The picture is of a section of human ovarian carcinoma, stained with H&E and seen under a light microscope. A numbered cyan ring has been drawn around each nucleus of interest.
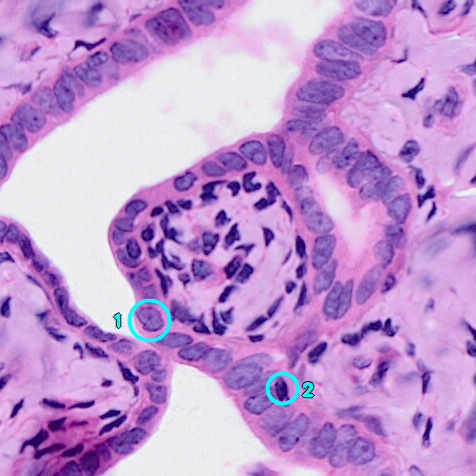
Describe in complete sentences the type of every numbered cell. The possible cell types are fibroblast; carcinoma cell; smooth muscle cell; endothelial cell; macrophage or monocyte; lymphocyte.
Cell 1 is a carcinoma cell and cell 2 is a lymphocyte.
